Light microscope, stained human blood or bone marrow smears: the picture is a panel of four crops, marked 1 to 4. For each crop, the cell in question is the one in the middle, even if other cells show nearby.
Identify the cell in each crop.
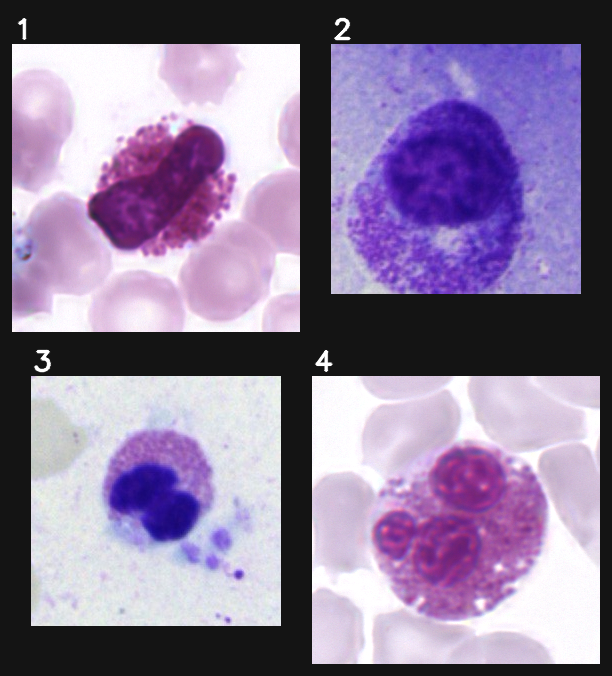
1: eosinophil
2: myelocyte
3: eosinophil
4: eosinophil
